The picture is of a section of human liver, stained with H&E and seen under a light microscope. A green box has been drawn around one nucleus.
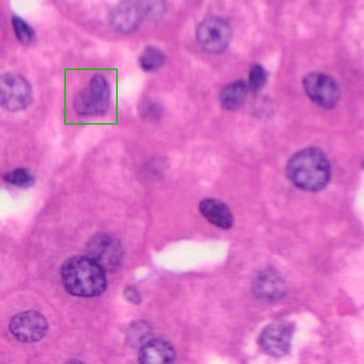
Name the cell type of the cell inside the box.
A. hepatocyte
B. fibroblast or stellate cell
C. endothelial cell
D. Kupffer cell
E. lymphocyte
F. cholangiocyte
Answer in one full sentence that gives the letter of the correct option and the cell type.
Of all the options, D is right, since the cell inside the box is a Kupffer cell.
